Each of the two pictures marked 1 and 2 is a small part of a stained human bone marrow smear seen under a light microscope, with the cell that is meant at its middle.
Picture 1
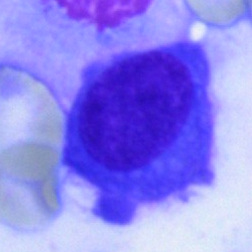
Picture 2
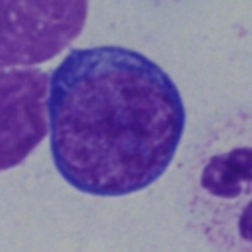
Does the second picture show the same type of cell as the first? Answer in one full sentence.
No. Picture 1 shows a plasma cell, but picture 2 shows a proerythroblast.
